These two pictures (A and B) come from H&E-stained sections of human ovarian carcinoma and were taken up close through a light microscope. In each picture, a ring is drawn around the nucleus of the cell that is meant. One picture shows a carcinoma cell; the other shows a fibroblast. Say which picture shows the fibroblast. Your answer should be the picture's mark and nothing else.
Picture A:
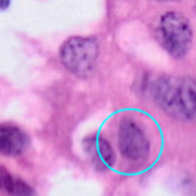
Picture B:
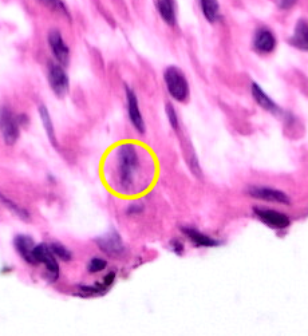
B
